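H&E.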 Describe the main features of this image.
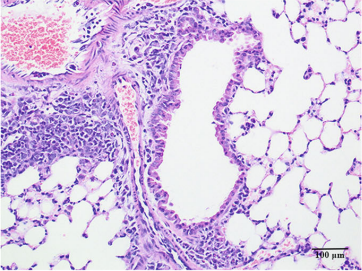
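The airway is lined by a continuous epithelium of cuboidal to columnar cells with pink cytoplasm. To its left, small round cells with dark purple nuclei gather densely in the tissue around the airway. At the top left a vessel lumen is packed with red blood cells. Alveoli with thin septa surround the airway on the right.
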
